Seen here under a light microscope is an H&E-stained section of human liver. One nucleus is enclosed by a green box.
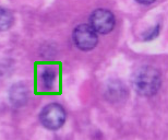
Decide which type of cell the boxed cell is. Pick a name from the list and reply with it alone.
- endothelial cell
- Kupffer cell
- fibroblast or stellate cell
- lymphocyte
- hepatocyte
fibroblast or stellate cell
